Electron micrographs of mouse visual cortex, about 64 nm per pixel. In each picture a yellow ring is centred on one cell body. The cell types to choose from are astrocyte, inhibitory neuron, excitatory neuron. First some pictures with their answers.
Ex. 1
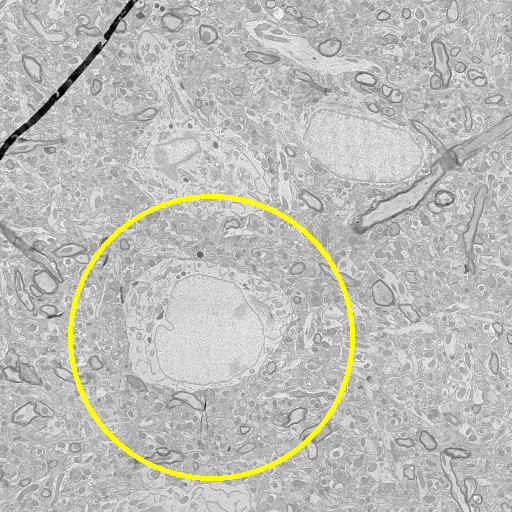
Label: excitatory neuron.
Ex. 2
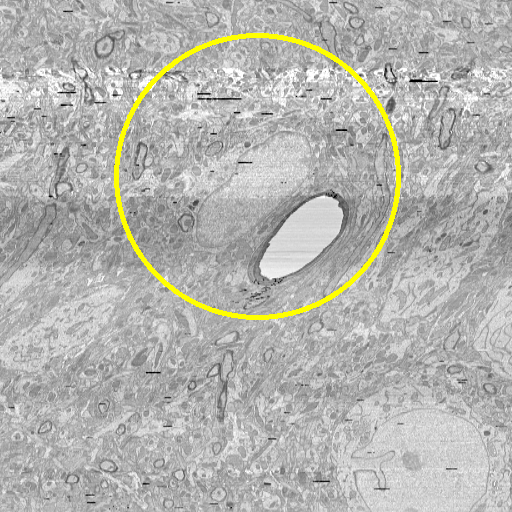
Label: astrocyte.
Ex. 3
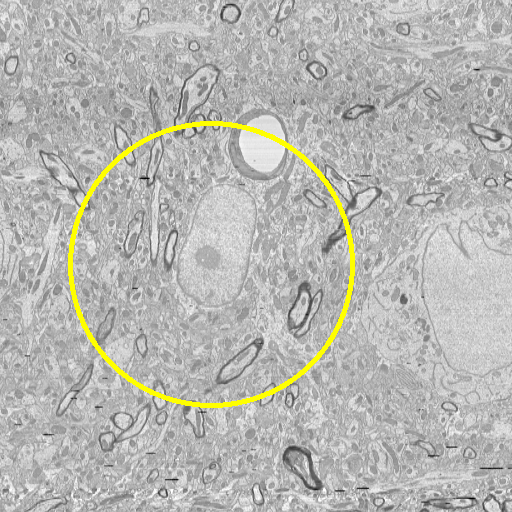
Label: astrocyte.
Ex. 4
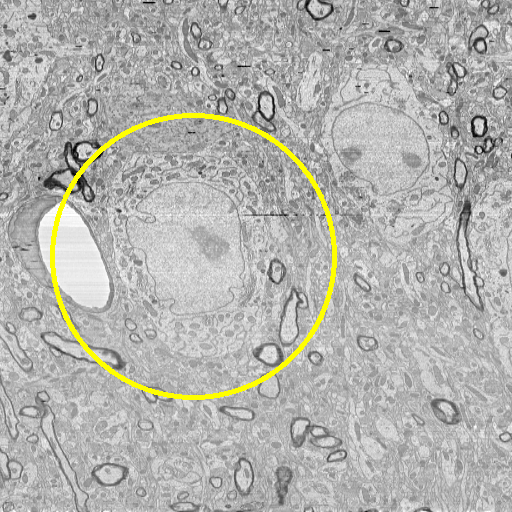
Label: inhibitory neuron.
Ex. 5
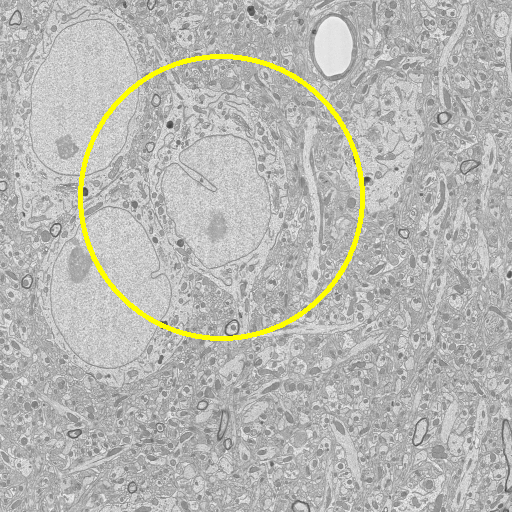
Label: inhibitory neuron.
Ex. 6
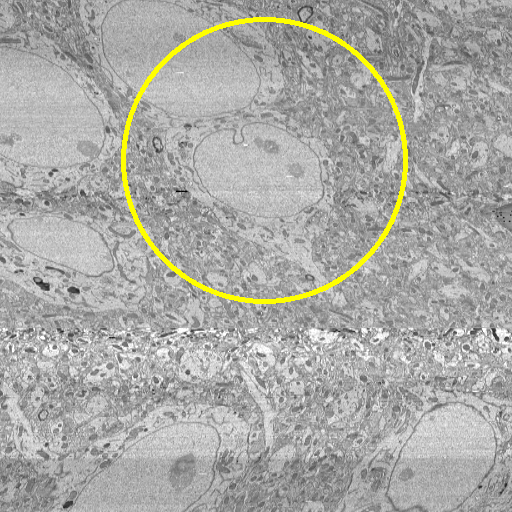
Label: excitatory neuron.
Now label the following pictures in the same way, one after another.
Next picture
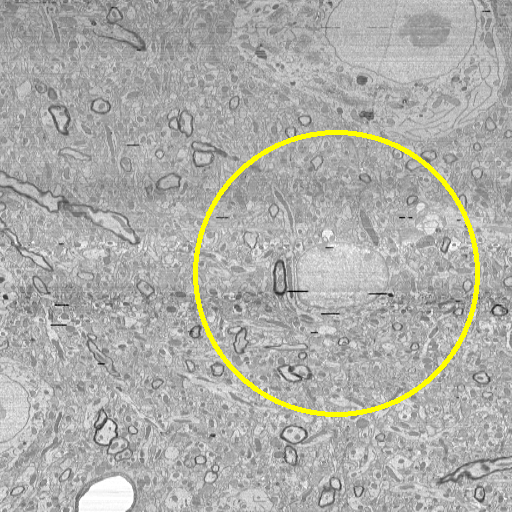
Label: astrocyte.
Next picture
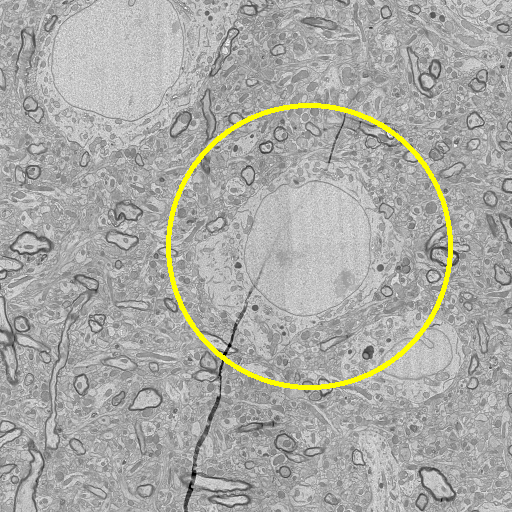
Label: excitatory neuron.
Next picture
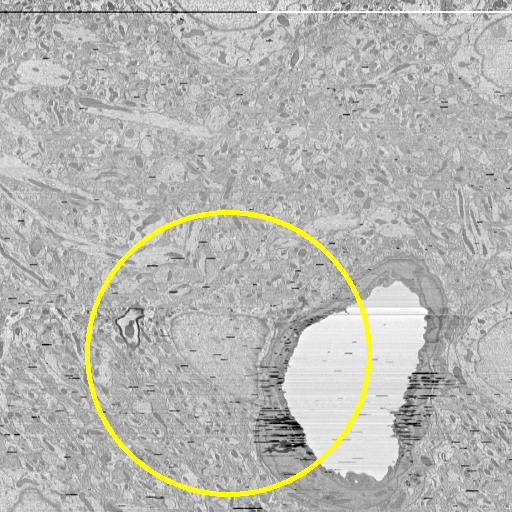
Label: astrocyte.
